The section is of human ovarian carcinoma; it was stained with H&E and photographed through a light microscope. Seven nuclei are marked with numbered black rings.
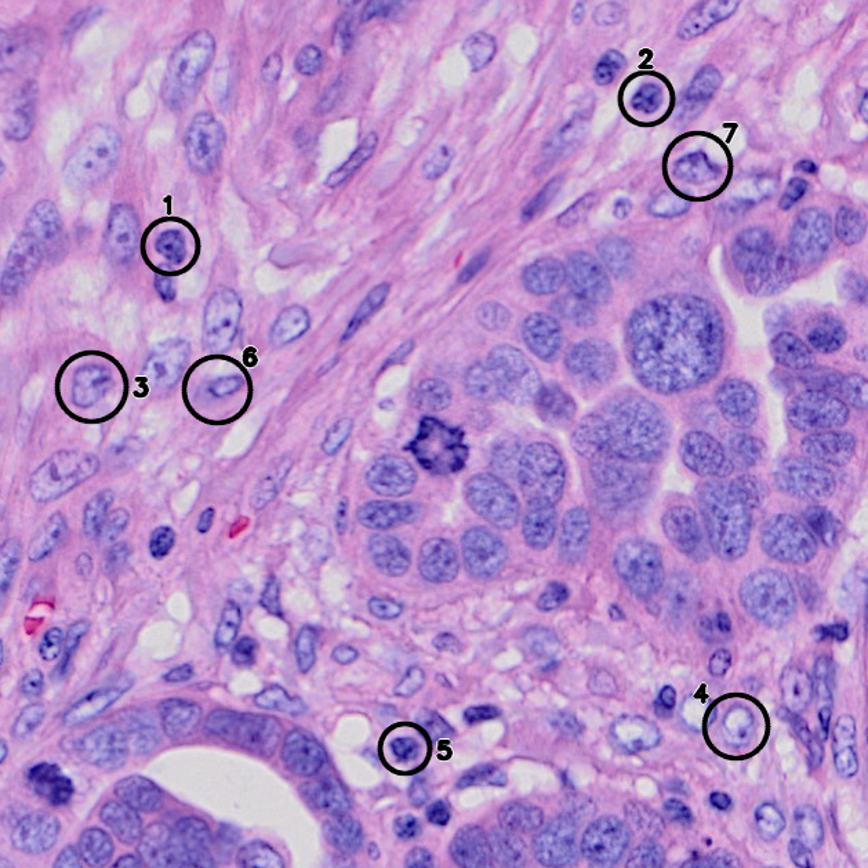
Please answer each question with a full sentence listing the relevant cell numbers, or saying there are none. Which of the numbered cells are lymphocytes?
Cells 1, 2 and 5 share one type; they are lymphocytes.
